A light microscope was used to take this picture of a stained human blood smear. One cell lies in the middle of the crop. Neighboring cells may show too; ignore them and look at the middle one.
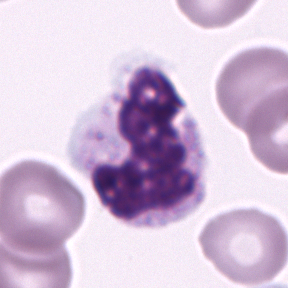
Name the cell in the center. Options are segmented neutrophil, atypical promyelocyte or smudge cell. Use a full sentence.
At the center of the crop sits a segmented neutrophil.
